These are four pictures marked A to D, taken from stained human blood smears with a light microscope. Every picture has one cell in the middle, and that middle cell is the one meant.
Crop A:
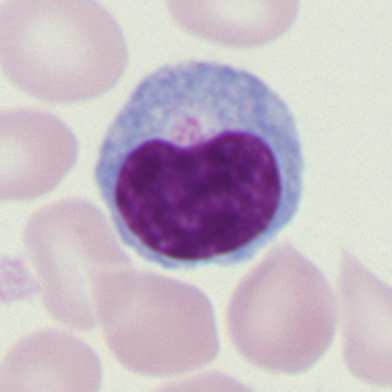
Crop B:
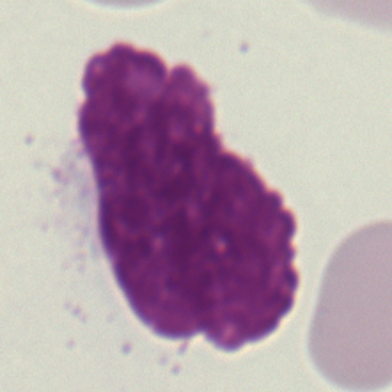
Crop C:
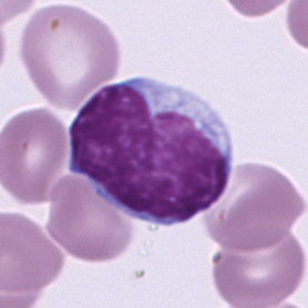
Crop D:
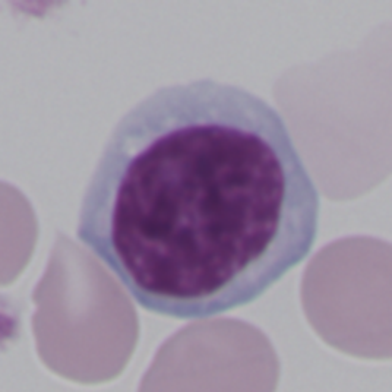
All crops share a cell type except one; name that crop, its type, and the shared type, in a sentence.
What sets crop B apart is that it is a smudge cell; the others are all typical lymphocytes.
